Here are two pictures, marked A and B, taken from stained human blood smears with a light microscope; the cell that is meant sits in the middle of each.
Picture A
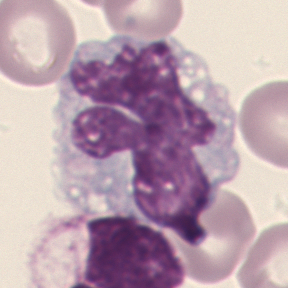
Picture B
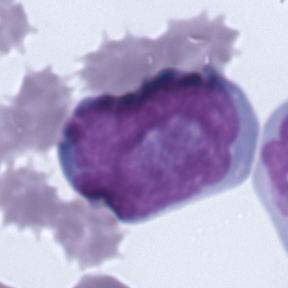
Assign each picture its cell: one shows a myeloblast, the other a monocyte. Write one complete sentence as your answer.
Picture B shows a myeloblast, while picture A shows a monocyte.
